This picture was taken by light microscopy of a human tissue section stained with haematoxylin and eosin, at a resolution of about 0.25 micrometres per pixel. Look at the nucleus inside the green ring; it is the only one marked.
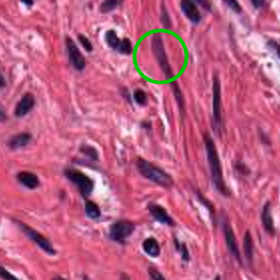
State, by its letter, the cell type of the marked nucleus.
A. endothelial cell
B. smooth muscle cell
B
